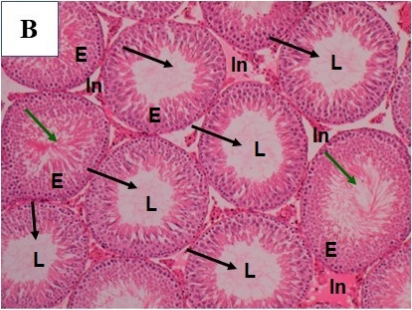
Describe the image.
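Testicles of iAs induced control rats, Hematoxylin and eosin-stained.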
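In many tubules the lumen is wide and pale, and the cellular layer around it looks comparatively thin. A few tubules still show a narrower lumen filled with pink fibrillar material. Small interstitial spaces with pink tissue lie between the tubules.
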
